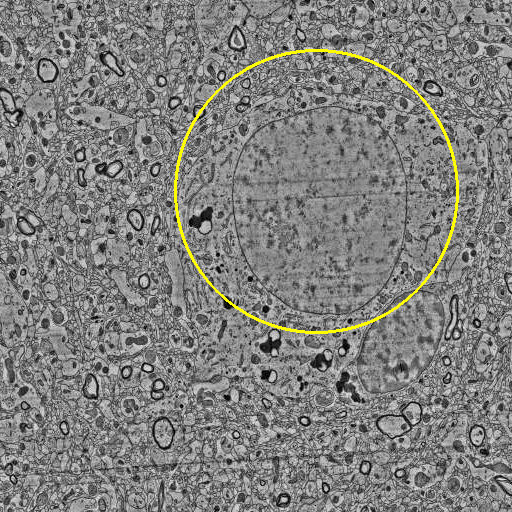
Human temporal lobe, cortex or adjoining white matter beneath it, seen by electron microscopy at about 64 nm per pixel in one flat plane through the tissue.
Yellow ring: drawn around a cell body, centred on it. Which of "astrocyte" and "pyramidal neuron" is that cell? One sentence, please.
That cell body is from a pyramidal neuron.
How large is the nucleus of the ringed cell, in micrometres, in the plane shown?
About 13 micrometres across, as seen in this plane.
